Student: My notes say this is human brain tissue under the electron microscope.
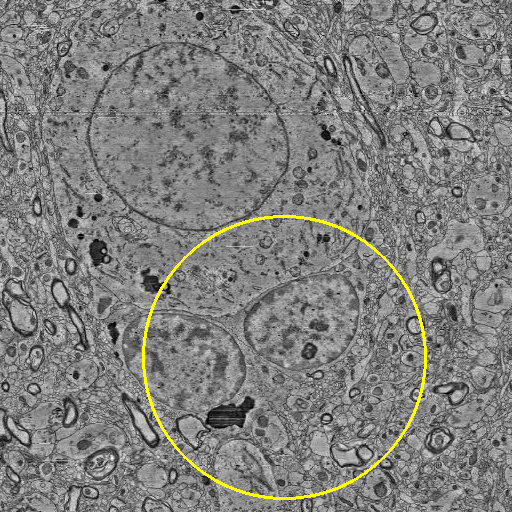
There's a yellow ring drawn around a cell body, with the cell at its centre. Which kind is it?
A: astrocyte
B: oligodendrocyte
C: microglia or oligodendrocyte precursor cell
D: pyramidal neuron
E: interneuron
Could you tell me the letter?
B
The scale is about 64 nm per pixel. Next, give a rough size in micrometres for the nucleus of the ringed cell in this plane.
About 8 by 6 micrometers, in this plane.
